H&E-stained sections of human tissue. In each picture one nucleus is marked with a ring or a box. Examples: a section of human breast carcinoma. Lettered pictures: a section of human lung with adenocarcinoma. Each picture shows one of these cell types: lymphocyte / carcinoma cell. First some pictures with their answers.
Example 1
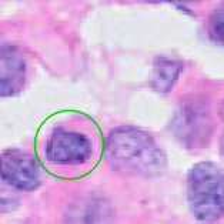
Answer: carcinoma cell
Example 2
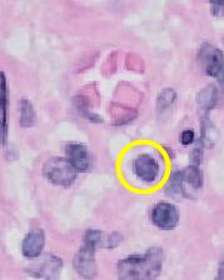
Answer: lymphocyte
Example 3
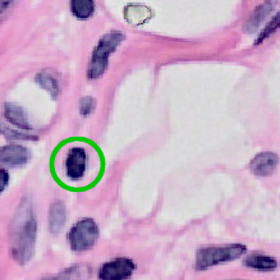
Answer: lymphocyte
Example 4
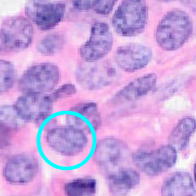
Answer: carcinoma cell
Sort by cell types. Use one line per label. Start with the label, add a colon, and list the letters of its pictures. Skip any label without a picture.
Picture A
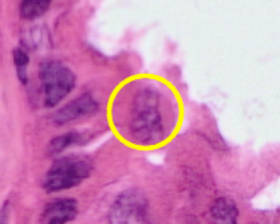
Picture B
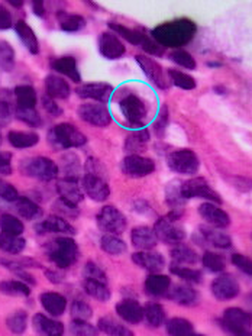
lymphocyte: B
carcinoma cell: A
